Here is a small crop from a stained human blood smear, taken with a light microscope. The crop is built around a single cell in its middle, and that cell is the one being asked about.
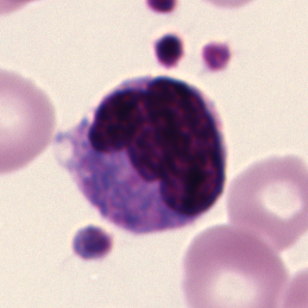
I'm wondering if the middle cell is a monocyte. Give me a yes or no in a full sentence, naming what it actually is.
Yes, placed in the middle of the crop is a monocyte.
